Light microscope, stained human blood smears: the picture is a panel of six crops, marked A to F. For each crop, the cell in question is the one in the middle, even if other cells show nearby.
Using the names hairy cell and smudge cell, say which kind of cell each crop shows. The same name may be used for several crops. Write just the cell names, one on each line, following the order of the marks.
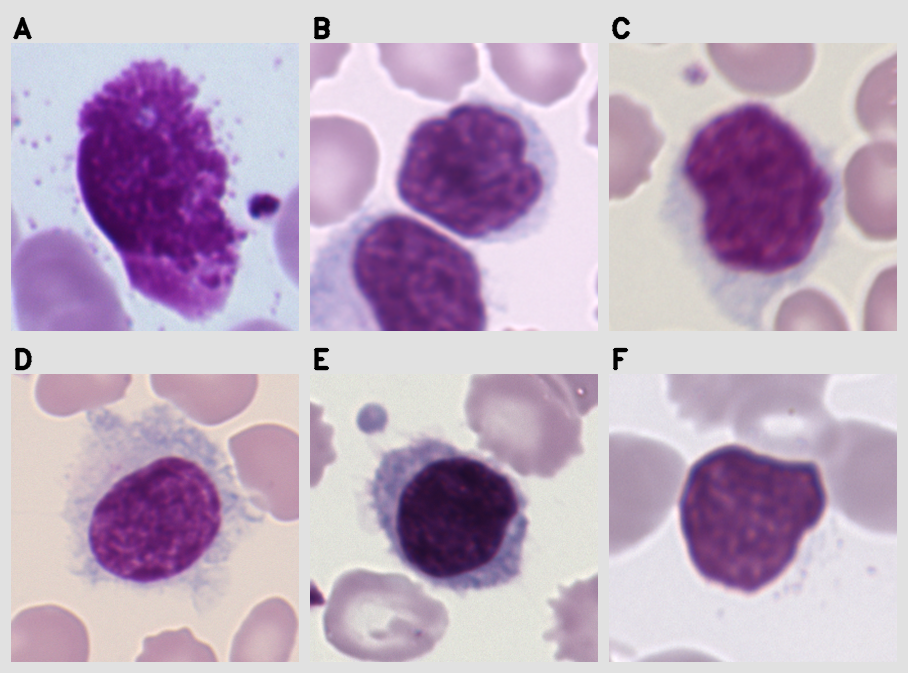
smudge cell
hairy cell
hairy cell
hairy cell
hairy cell
smudge cell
